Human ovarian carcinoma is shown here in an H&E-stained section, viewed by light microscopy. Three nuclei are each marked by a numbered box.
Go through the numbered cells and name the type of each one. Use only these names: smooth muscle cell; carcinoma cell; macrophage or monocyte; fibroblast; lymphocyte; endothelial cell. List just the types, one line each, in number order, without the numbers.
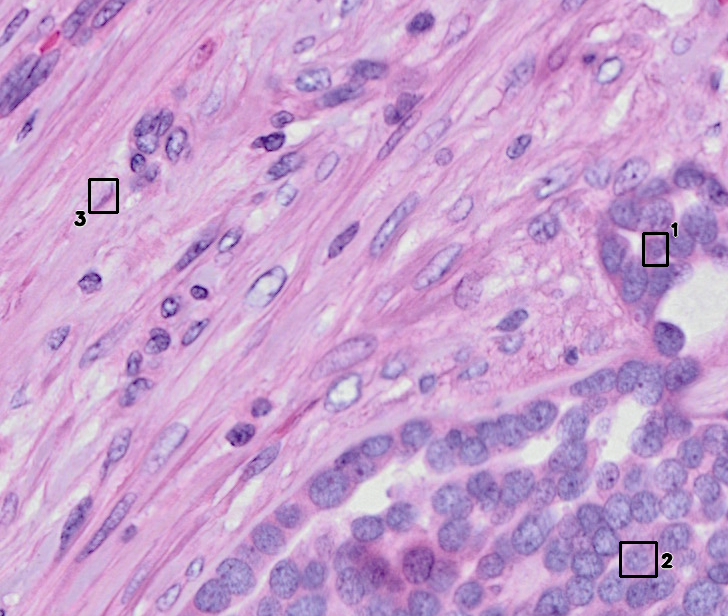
carcinoma cell
carcinoma cell
fibroblast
